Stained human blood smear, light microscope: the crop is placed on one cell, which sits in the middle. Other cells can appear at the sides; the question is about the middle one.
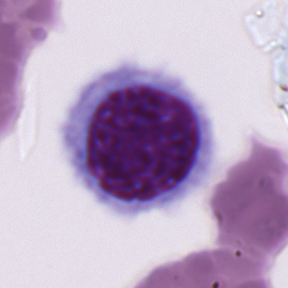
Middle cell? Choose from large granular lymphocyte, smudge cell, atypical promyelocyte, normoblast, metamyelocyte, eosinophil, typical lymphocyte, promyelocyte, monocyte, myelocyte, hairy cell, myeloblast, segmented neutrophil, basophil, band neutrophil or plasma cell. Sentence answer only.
The central cell in this smear crop is a hairy cell.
